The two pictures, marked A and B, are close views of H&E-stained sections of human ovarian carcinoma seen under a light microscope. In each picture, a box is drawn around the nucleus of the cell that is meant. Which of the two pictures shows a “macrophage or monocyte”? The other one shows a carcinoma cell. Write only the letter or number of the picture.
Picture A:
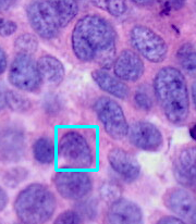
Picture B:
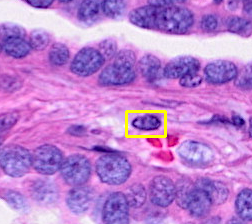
B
